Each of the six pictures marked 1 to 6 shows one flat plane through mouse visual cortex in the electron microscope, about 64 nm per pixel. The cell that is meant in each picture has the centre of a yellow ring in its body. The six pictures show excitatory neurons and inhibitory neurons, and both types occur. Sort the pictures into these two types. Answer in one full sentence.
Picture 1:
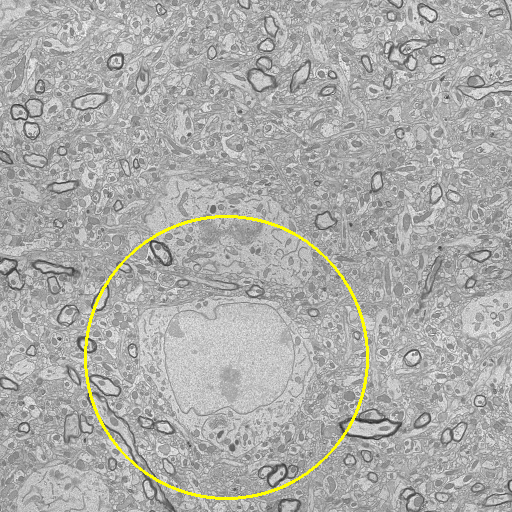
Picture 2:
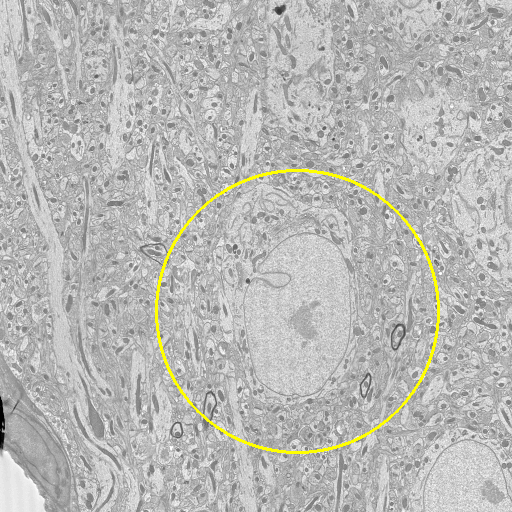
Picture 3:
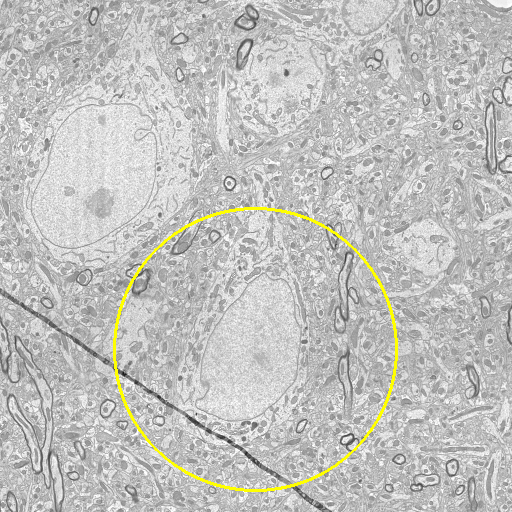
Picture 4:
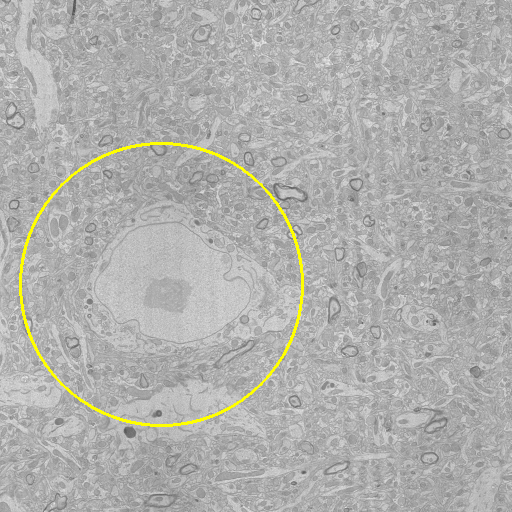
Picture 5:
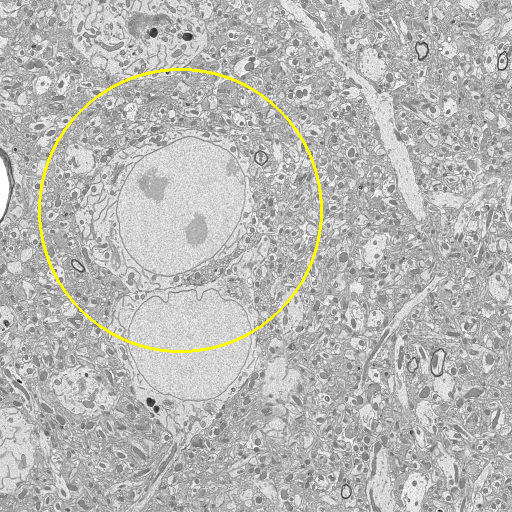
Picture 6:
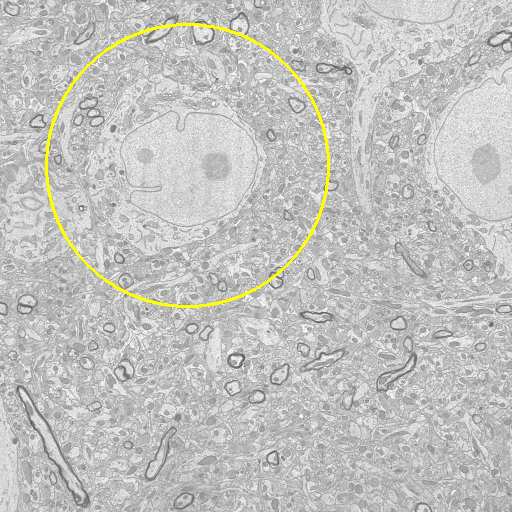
Pictures 1, 4, 5 and 6 show excitatory neurons, while pictures 2 and 3 show inhibitory neurons.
